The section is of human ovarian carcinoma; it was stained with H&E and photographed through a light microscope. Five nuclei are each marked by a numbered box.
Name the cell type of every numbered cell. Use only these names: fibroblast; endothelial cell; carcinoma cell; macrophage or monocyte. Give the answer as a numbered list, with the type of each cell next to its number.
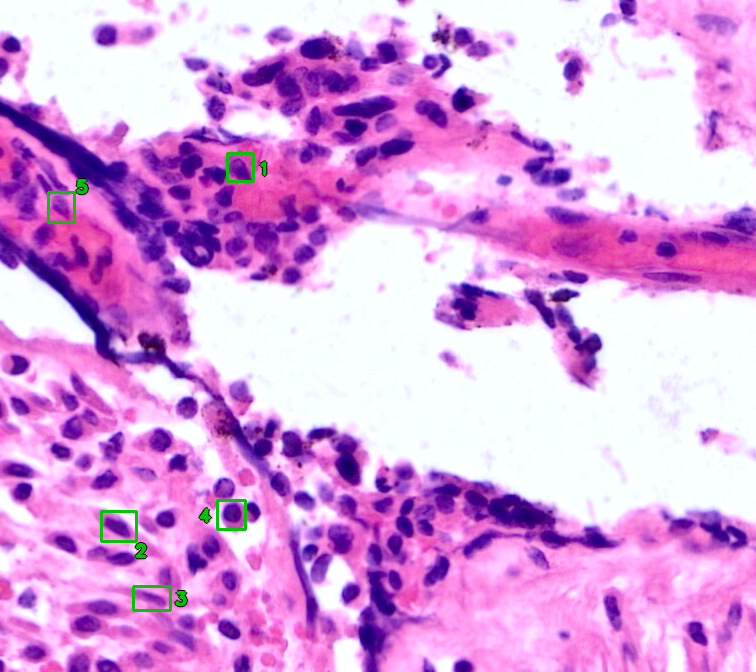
1. endothelial cell
2. fibroblast
3. fibroblast
4. macrophage or monocyte
5. endothelial cell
